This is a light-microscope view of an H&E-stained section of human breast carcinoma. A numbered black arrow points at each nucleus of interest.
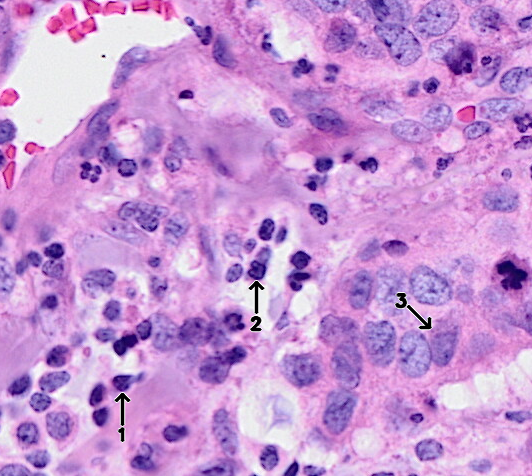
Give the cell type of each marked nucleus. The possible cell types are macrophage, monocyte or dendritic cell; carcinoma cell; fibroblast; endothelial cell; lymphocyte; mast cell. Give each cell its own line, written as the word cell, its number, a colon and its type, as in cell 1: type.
cell 1: lymphocyte
cell 2: lymphocyte
cell 3: carcinoma cell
